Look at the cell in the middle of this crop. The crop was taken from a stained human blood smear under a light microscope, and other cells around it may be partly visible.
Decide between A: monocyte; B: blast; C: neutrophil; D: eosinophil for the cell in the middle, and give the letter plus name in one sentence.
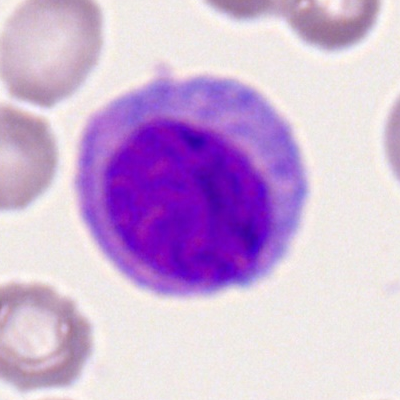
The correct choice is option A, which identifies the middle cell as a monocyte.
